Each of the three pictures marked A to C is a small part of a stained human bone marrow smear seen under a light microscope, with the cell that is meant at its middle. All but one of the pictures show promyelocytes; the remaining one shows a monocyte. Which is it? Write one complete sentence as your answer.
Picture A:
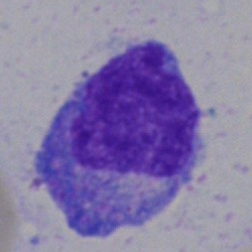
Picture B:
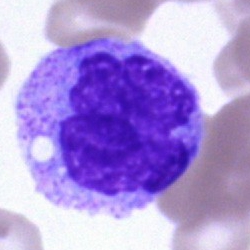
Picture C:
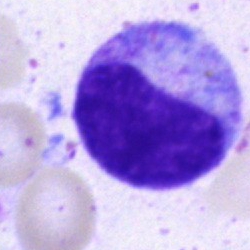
The cell in picture B is the monocyte.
